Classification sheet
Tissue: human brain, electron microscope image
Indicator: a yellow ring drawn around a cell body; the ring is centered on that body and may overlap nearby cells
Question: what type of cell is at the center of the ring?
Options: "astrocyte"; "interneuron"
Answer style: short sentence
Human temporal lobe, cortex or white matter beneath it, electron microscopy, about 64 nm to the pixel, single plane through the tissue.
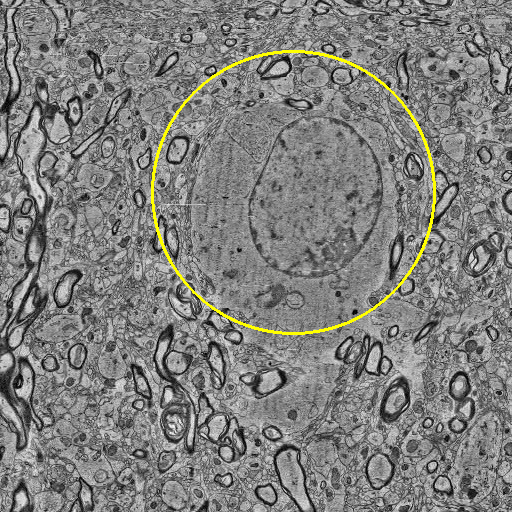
At the ring's center is an astrocyte.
